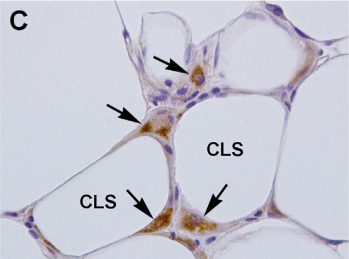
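This is white adipose tissue in which several large, clear adipocytes are each ringed by a collar of smaller cells. The surrounding cells have bluish oval nuclei and pale to brown cytoplasm, and they are packed in the thin spaces between the fat cells. Several of these ringing cells, pointed out by arrows, carry a granular brown deposit in their cytoplasm. The adipocytes themselves appear as empty spaces bounded by thin membranes.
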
